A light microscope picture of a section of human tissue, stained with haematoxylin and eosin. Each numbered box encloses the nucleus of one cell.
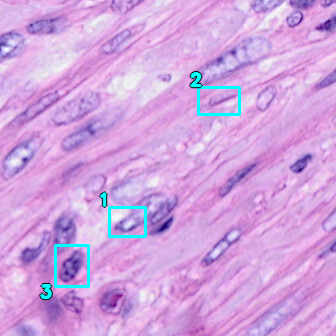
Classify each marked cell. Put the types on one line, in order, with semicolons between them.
fibroblast; fibroblast; lymphocyte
